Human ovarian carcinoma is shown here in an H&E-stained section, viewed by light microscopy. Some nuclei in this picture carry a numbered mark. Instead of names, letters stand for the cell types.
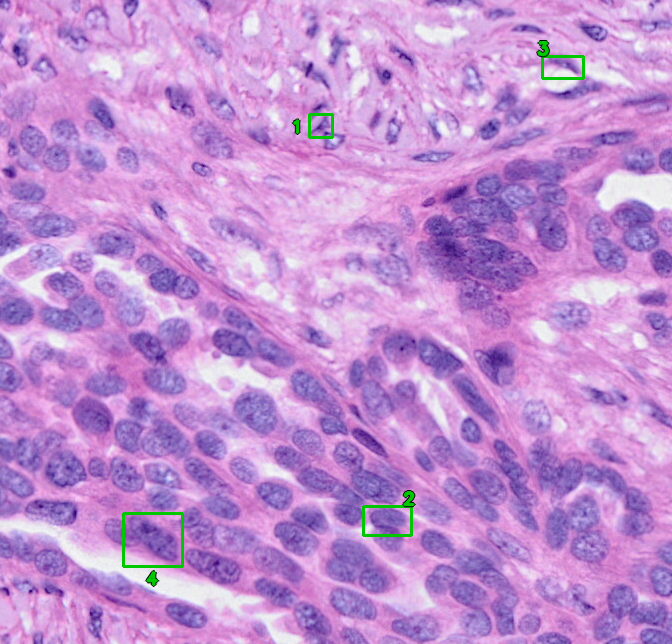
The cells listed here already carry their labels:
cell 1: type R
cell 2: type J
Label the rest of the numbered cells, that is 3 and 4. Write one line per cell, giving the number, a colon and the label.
3: type R
4: type J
